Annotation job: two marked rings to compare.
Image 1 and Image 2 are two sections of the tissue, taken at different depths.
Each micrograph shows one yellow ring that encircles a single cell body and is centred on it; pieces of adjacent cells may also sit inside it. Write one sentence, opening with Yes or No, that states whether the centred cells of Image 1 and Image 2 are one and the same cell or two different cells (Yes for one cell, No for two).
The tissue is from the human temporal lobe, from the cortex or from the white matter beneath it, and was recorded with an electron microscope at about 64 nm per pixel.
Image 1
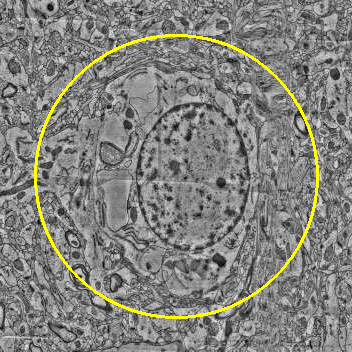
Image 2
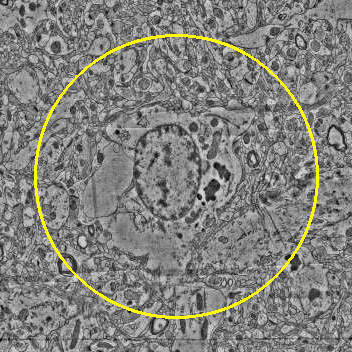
Yes, the same individual cell is enclosed by both rings.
